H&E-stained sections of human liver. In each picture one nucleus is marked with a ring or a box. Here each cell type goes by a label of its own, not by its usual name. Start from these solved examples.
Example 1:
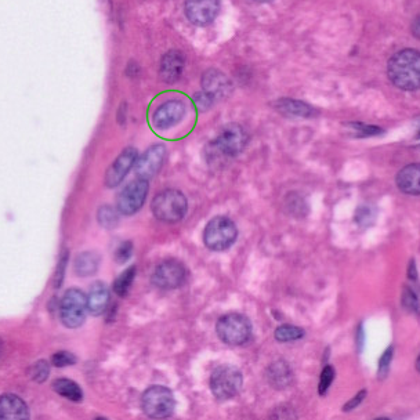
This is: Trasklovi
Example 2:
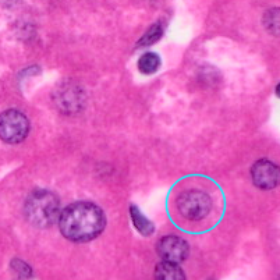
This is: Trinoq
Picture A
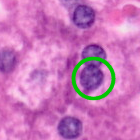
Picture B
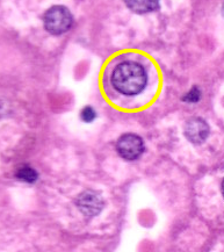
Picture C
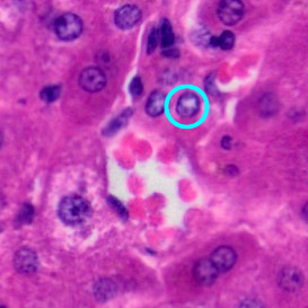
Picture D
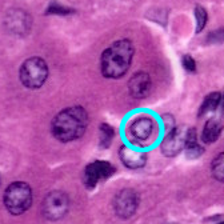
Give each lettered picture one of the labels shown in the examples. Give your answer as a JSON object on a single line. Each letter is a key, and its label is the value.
{"A": "Trinoq", "B": "Trinoq", "C": "Trasklovi", "D": "Trasklovi"}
